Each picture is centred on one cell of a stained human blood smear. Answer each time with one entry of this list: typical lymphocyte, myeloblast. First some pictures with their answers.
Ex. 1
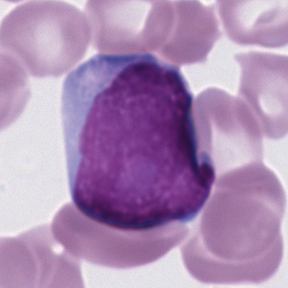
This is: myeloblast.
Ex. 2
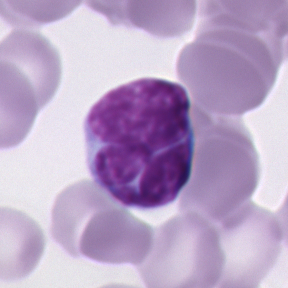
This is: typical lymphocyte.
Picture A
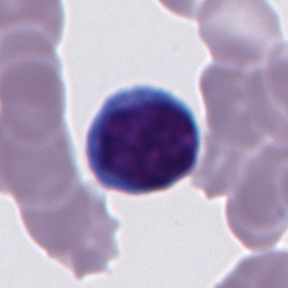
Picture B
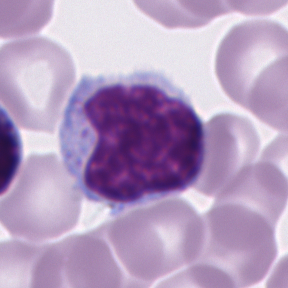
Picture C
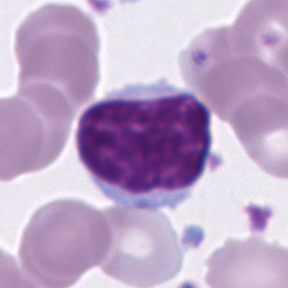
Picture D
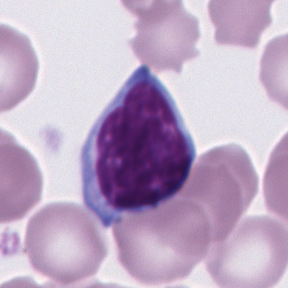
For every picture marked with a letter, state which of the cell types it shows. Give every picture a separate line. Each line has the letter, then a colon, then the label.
A: typical lymphocyte.
B: typical lymphocyte.
C: typical lymphocyte.
D: typical lymphocyte.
